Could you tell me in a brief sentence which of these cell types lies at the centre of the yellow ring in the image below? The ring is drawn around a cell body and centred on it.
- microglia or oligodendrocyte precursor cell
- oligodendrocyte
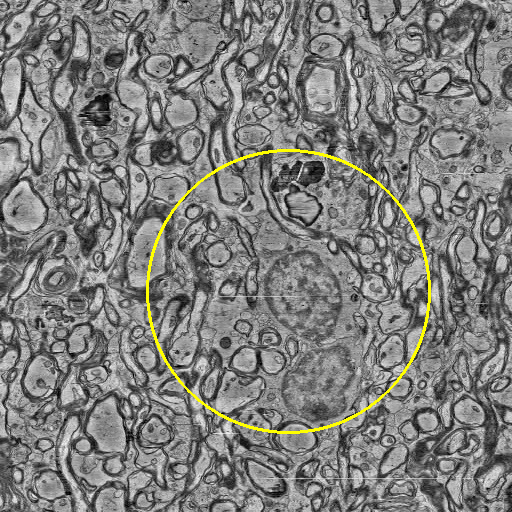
The cell centred in the ring is an oligodendrocyte.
